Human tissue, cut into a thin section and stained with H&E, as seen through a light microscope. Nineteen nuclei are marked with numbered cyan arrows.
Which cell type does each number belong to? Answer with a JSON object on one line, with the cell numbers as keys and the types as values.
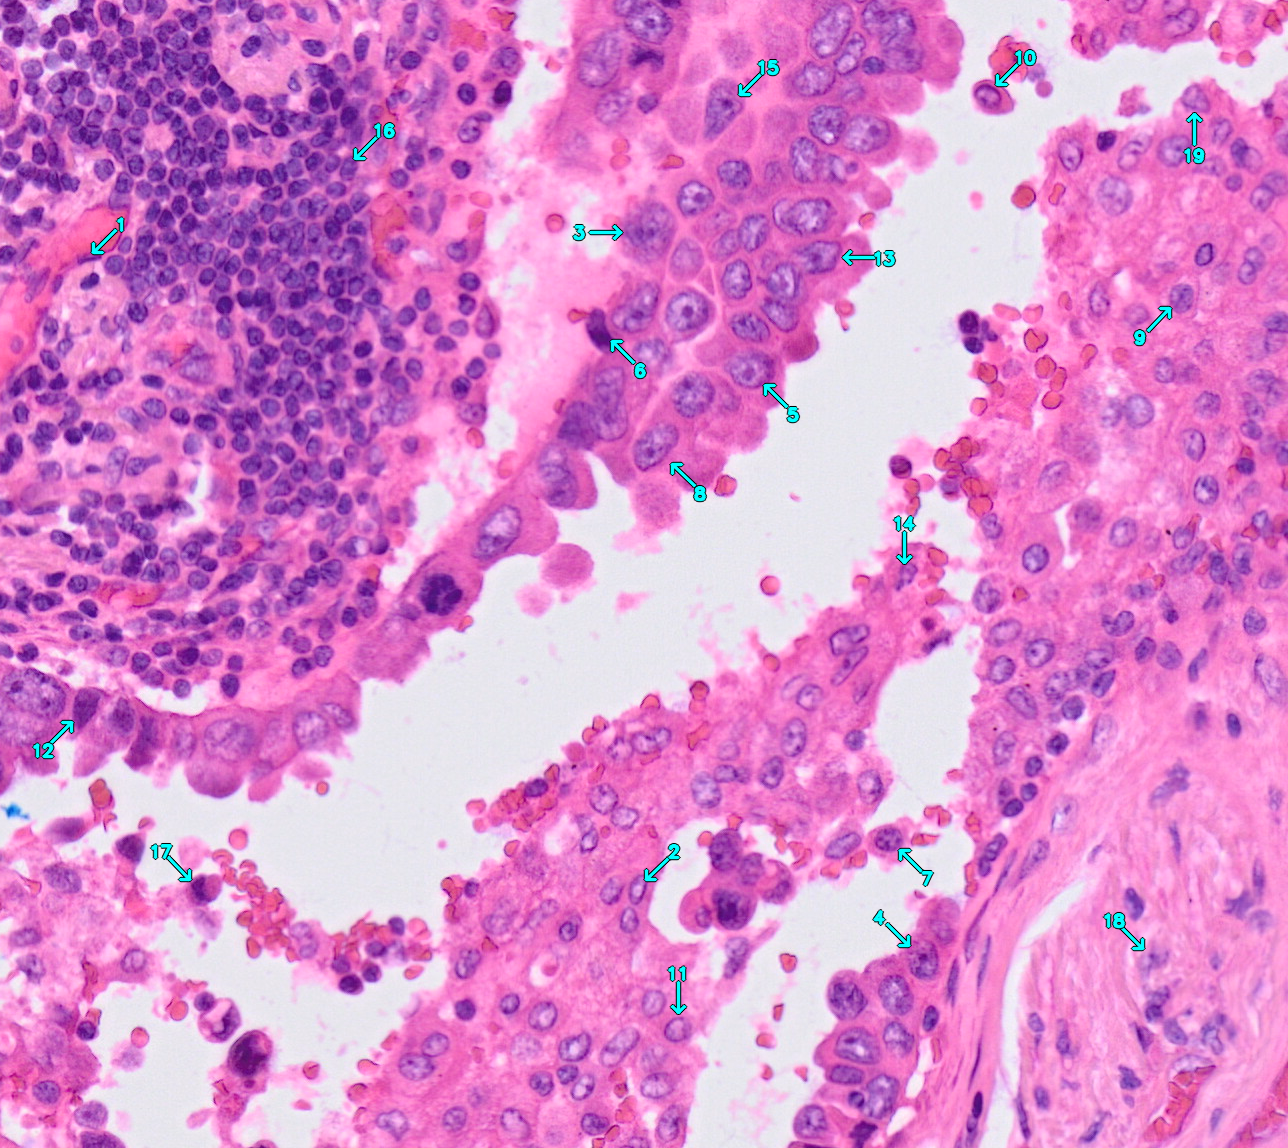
{"1": "endothelial cell", "2": "macrophage or monocyte", "3": "carcinoma cell", "4": "carcinoma cell", "5": "carcinoma cell", "6": "carcinoma cell", "7": "macrophage or monocyte", "8": "carcinoma cell", "9": "macrophage or monocyte", "10": "macrophage or monocyte", "11": "macrophage or monocyte", "12": "carcinoma cell", "13": "carcinoma cell", "14": "macrophage or monocyte", "15": "carcinoma cell", "16": "lymphocyte", "17": "macrophage or monocyte", "18": "fibroblast", "19": "macrophage or monocyte"}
